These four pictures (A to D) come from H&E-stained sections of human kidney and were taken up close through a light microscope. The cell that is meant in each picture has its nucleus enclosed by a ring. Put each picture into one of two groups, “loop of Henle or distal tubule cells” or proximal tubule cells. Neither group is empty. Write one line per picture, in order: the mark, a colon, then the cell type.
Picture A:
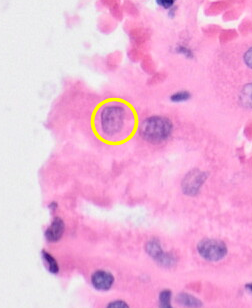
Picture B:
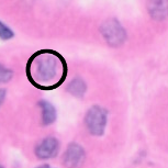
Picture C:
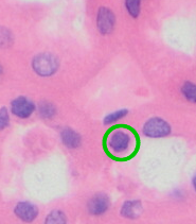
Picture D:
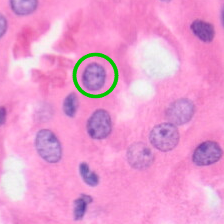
A: proximal tubule cell
B: loop of Henle or distal tubule cell
C: loop of Henle or distal tubule cell
D: proximal tubule cell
